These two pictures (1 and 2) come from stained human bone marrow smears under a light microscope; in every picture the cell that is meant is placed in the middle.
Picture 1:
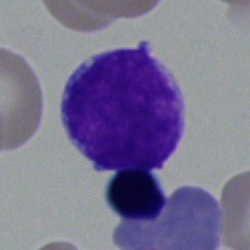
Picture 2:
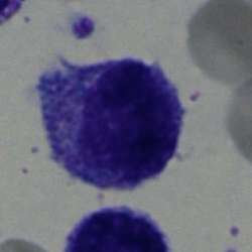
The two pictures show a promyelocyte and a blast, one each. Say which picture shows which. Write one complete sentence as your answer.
Picture 1 is of a blast, and picture 2 is of a promyelocyte.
